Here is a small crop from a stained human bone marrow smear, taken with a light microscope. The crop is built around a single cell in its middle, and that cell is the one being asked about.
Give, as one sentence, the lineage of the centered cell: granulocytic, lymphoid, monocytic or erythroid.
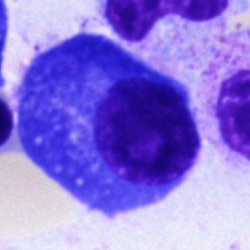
The cell at the center of the crop has lymphoid lineage.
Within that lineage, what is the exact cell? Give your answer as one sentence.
The single cell at the center of the crop is a plasma cell.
